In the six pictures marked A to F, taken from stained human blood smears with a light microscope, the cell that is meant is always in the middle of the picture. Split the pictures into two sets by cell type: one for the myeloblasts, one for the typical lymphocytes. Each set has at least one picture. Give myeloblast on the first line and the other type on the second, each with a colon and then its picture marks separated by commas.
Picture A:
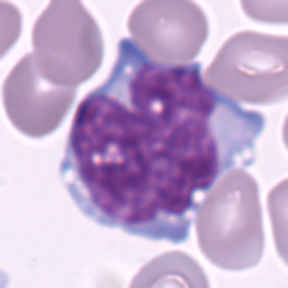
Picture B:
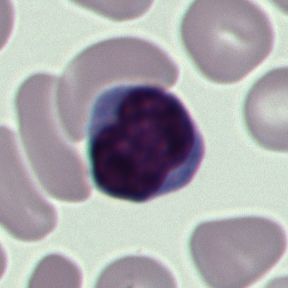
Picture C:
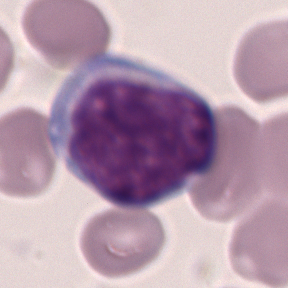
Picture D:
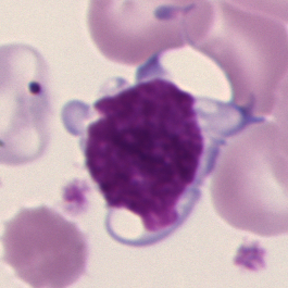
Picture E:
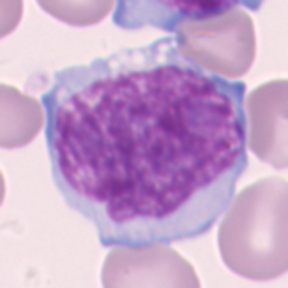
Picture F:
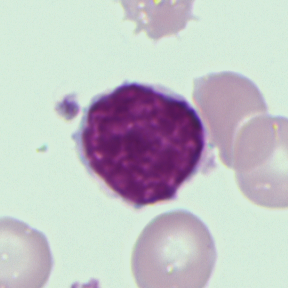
myeloblast: A, C, E
typical lymphocyte: B, D, F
